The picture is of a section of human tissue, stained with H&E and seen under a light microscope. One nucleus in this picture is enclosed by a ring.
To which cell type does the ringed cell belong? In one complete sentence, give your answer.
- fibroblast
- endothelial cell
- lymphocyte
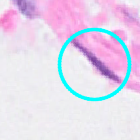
To be brief about it, the ringed cell is a fibroblast.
